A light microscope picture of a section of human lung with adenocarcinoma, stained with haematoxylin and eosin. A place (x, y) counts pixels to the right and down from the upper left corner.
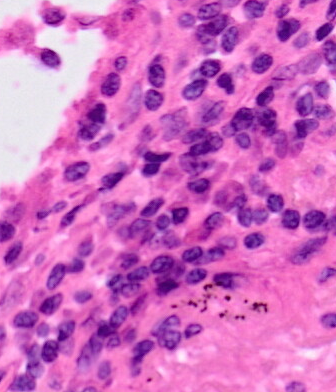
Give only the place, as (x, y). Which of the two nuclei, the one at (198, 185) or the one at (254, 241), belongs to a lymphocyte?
(254, 241)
